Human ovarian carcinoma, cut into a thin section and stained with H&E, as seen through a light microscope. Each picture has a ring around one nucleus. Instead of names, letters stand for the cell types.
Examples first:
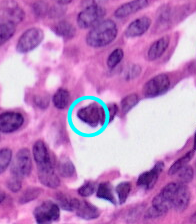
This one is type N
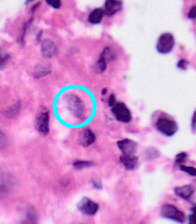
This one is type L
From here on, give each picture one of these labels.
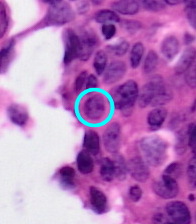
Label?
type N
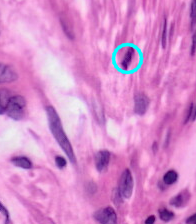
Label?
type L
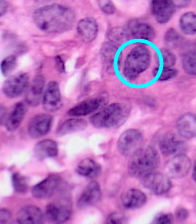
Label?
type N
